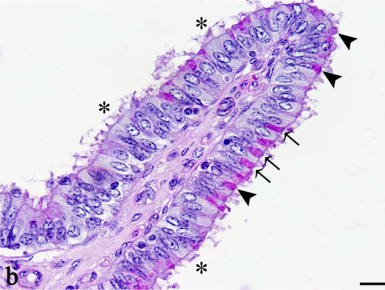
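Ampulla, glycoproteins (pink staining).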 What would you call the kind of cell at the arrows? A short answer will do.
peg cells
